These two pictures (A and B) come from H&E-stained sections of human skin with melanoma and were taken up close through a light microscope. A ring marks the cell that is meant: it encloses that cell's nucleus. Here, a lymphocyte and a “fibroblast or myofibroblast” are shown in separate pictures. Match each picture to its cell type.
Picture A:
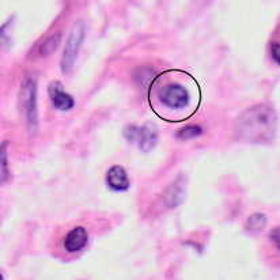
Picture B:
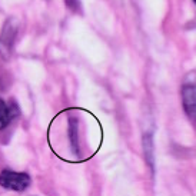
A: lymphocyte
B: fibroblast or myofibroblast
